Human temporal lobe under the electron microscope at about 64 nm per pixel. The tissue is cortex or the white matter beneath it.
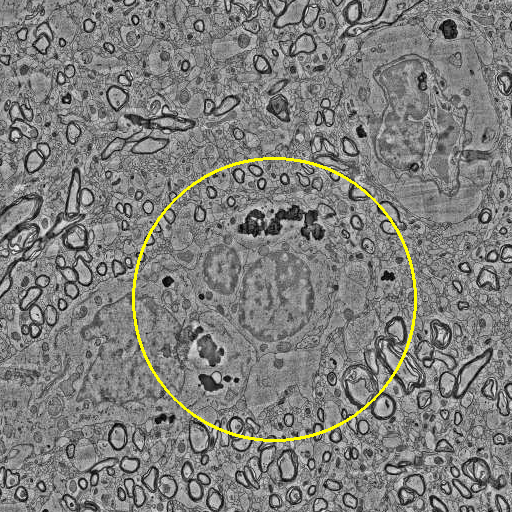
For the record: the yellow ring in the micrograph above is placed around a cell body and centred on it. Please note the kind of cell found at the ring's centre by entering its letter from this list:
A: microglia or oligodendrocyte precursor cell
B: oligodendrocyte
B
